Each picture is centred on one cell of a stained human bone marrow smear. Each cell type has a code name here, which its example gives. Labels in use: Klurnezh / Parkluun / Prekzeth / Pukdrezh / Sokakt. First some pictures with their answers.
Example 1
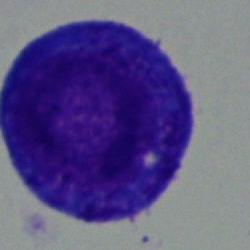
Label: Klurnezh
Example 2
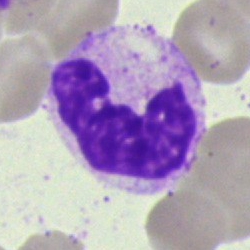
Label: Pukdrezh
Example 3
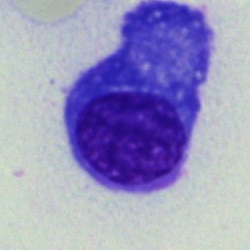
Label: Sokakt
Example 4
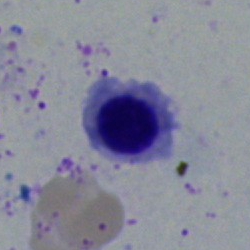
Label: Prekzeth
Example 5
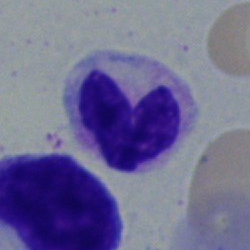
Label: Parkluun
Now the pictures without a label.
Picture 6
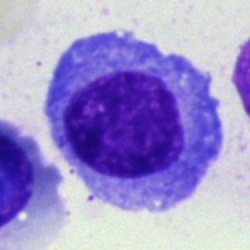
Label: Sokakt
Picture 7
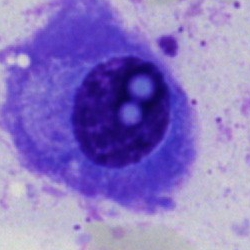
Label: Sokakt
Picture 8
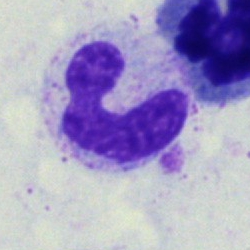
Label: Parkluun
